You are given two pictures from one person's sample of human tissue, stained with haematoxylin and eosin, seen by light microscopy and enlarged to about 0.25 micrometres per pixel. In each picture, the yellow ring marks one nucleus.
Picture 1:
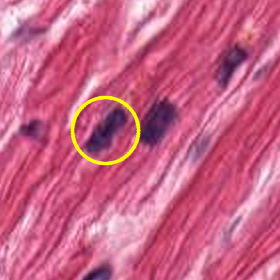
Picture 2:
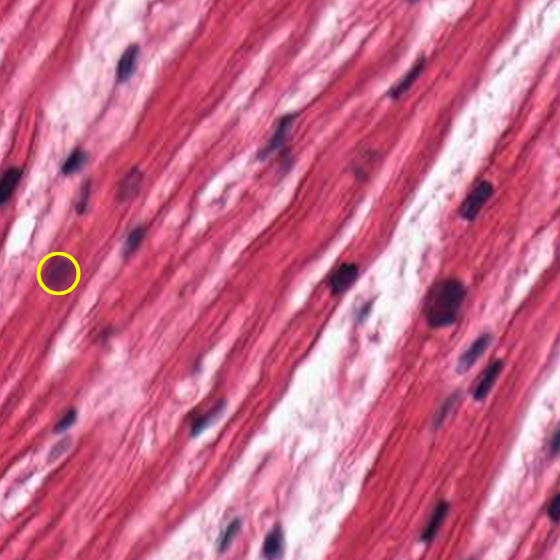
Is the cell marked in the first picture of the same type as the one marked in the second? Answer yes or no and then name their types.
Yes, both are cardiomyocytes.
